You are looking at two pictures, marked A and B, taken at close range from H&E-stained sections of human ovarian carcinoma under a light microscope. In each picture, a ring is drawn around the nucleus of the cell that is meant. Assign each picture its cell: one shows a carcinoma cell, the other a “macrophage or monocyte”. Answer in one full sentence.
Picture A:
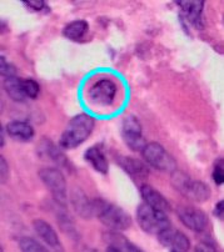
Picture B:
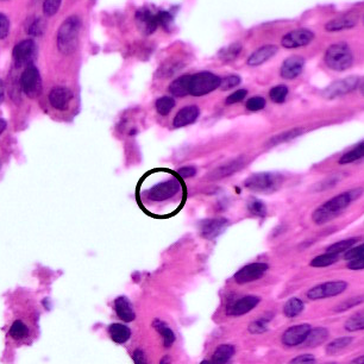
In picture A the cell is a “macrophage or monocyte”; in picture B, a carcinoma cell.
